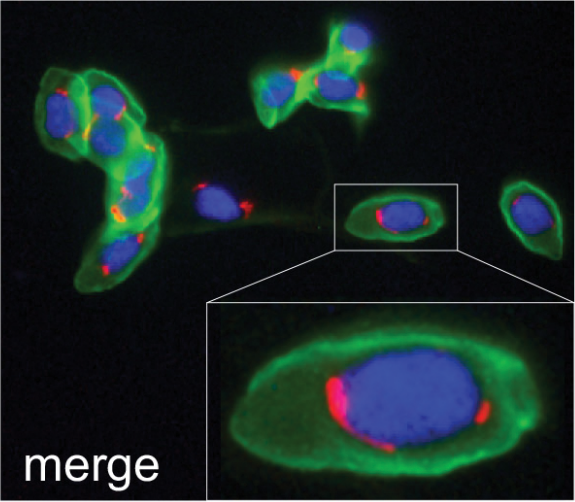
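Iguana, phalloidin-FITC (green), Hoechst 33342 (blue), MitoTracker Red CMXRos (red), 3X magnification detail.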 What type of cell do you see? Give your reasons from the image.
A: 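Cells are of similar size and shape, lying singly or in overlapping clusters. That points to this answer: erythrocytes.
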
